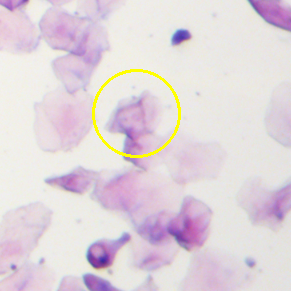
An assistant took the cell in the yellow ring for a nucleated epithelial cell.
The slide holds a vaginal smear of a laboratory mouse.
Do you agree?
I disagree, it is a cornified epithelial cell.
